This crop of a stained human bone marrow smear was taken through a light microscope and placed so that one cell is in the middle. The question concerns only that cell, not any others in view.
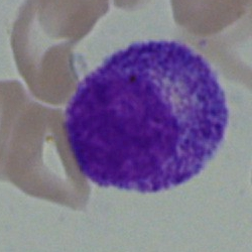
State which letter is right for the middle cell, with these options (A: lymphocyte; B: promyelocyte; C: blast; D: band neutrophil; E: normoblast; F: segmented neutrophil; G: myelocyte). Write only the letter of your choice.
G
